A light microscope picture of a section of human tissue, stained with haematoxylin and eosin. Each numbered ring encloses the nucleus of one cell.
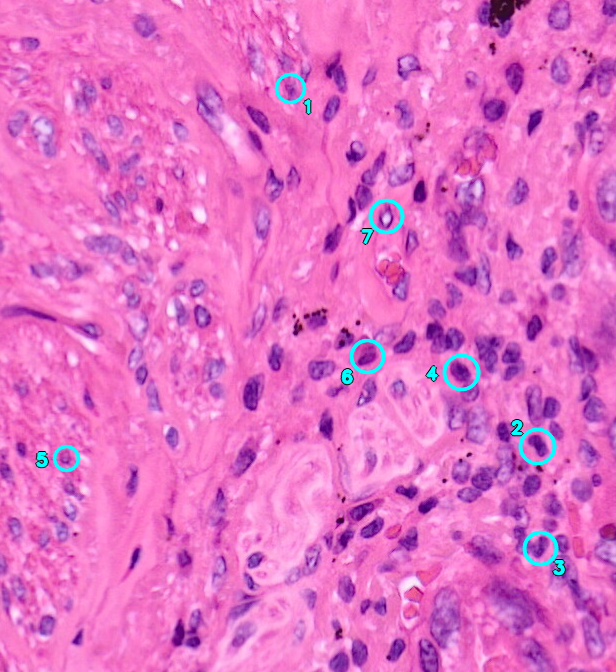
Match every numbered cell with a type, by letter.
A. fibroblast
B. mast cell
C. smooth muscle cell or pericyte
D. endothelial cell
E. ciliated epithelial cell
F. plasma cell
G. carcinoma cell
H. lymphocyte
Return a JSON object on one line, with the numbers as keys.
{"1": "C", "2": "H", "3": "H", "4": "H", "5": "C", "6": "F", "7": "D"}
